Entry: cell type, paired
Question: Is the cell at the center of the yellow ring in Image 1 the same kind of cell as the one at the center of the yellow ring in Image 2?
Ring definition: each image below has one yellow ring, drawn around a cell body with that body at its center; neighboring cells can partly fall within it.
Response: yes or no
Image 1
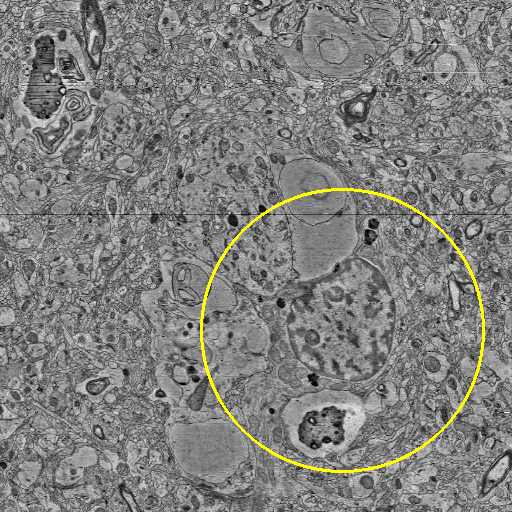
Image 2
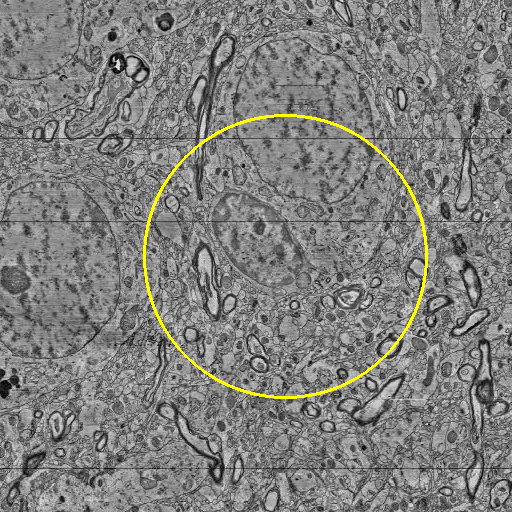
no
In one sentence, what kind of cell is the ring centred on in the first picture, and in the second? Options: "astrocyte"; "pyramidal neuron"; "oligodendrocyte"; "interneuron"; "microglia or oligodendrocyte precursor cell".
The cell at the centre of the second ring is an oligodendrocyte; the first ring's cell is a microglial cell or oligodendrocyte precursor cell.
